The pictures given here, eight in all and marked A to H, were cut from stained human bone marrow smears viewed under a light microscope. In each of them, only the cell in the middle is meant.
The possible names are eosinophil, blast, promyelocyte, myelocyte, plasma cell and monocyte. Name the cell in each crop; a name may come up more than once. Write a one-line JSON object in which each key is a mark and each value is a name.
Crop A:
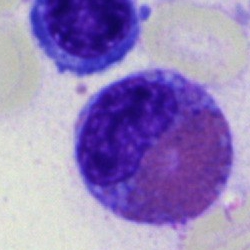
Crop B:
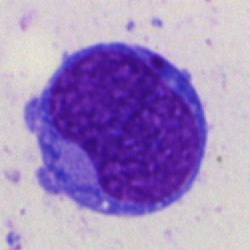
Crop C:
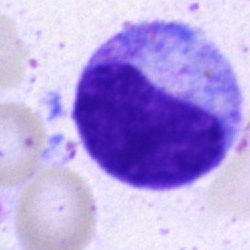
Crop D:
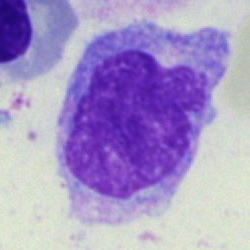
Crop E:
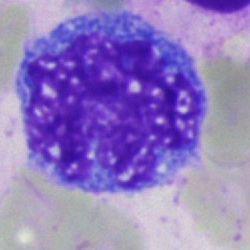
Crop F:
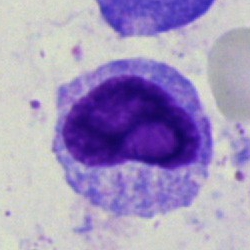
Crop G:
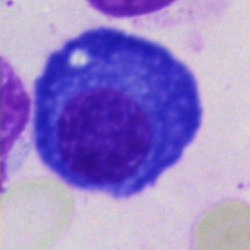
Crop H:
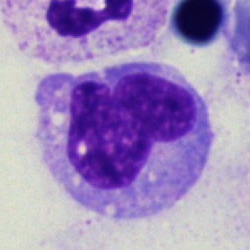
{"A": "eosinophil", "B": "blast", "C": "promyelocyte", "D": "monocyte", "E": "monocyte", "F": "myelocyte", "G": "plasma cell", "H": "monocyte"}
